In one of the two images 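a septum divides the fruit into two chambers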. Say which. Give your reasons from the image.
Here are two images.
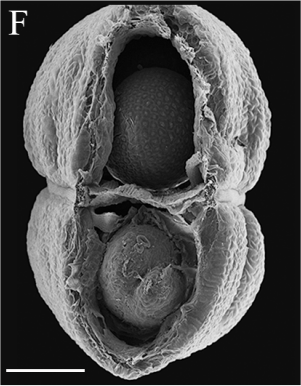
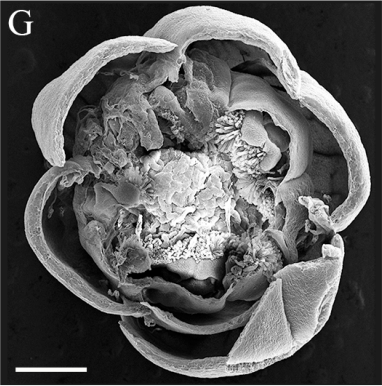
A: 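Second image: the inside is filled with irregular tissue masses with no dividing wall. First image: a thin transverse wall separates two chambers, each holding a rounded body. On this evidence: the first image.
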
